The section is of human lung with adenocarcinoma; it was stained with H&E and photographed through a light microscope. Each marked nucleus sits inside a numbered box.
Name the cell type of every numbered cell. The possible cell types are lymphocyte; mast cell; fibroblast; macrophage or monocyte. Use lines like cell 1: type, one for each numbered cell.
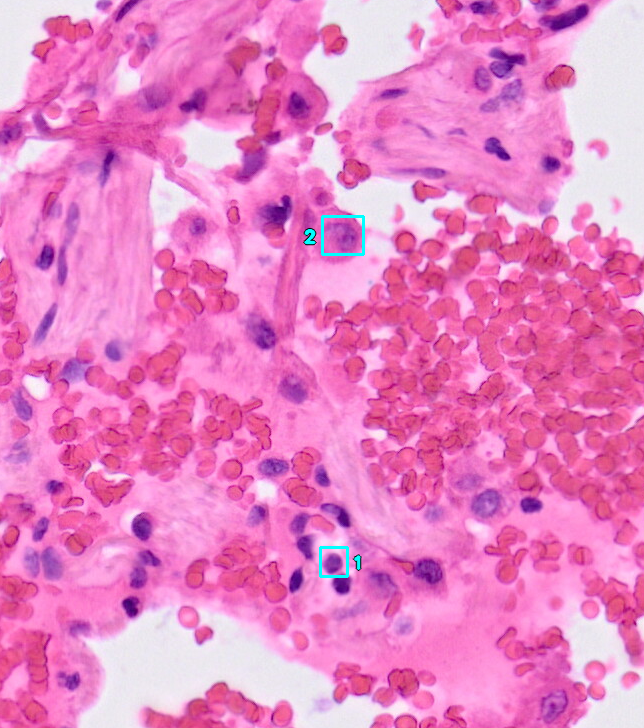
cell 1: lymphocyte
cell 2: macrophage or monocyte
